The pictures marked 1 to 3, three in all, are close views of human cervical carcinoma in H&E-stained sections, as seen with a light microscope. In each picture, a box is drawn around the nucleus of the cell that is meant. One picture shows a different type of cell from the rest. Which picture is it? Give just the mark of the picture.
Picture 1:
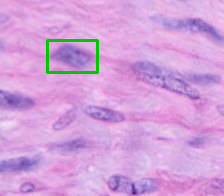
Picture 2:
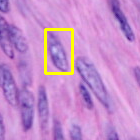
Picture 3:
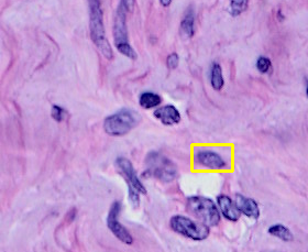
3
